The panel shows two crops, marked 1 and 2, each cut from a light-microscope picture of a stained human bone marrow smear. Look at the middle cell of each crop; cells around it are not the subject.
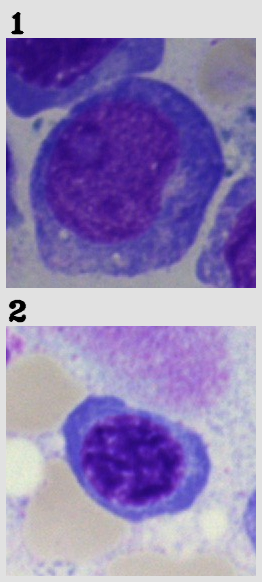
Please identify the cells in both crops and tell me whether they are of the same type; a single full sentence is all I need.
No, it is crop 1 that shows a blast, and crop 2 that shows an erythroblast.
